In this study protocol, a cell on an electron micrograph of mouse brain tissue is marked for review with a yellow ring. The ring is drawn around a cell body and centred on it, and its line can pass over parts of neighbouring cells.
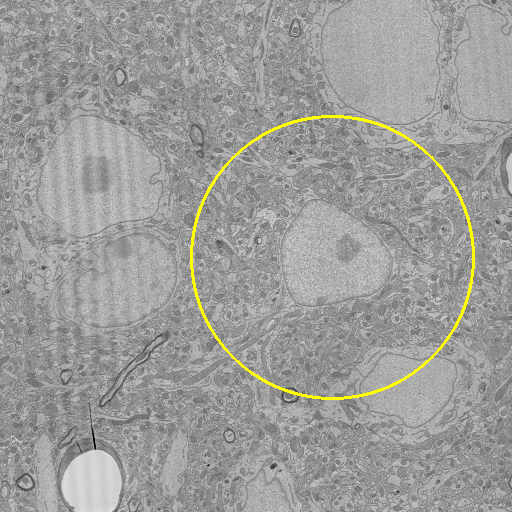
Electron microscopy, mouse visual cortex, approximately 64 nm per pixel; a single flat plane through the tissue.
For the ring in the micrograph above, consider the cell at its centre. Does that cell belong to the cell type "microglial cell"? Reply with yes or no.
no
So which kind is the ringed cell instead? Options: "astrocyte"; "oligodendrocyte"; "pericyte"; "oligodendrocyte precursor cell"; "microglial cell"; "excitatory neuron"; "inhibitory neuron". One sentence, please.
So the cell at the centre is an astrocyte.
